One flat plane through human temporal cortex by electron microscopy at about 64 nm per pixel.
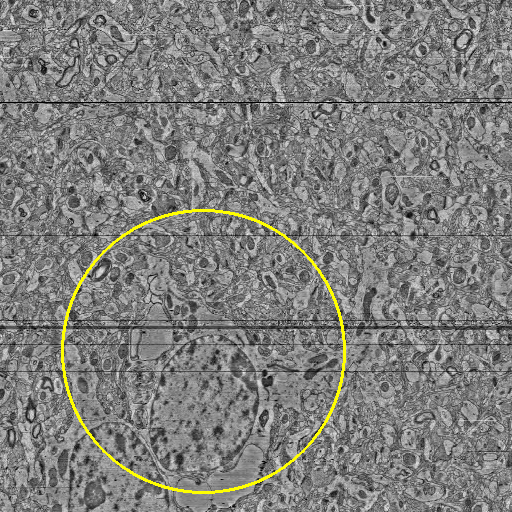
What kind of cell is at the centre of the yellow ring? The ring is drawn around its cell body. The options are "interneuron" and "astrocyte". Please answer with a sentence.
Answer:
The yellow ring marks the cell body of an astrocyte.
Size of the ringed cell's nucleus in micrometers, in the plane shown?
The ringed cell's nucleus measures approximately 9 by 7 micrometres in this plane.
